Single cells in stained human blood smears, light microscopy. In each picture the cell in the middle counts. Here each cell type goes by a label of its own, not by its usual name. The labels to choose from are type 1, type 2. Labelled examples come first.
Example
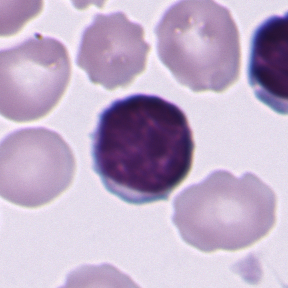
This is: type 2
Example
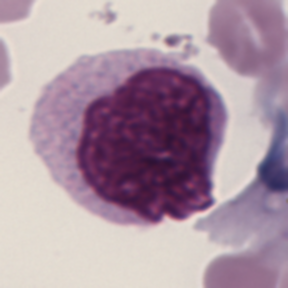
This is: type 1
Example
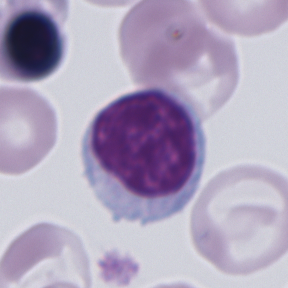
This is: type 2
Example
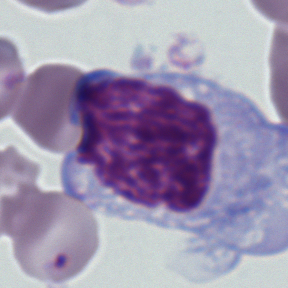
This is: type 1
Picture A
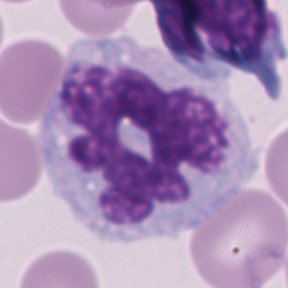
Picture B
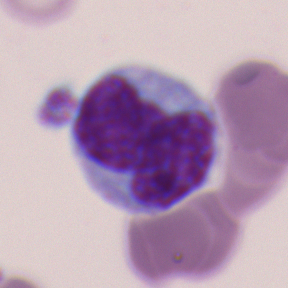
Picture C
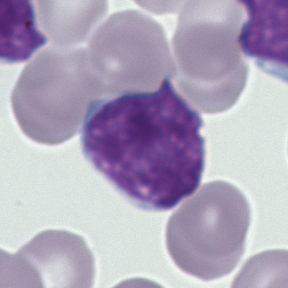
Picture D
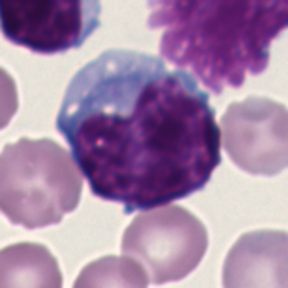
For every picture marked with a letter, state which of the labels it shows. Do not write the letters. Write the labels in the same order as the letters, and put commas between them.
type 1, type 1, type 2, type 1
